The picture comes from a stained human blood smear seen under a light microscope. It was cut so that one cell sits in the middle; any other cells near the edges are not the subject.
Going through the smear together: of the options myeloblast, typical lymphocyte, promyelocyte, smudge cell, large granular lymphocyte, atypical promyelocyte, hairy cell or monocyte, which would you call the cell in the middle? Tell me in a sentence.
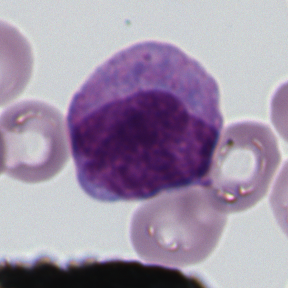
The cell positioned in the middle of the field is an atypical promyelocyte.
